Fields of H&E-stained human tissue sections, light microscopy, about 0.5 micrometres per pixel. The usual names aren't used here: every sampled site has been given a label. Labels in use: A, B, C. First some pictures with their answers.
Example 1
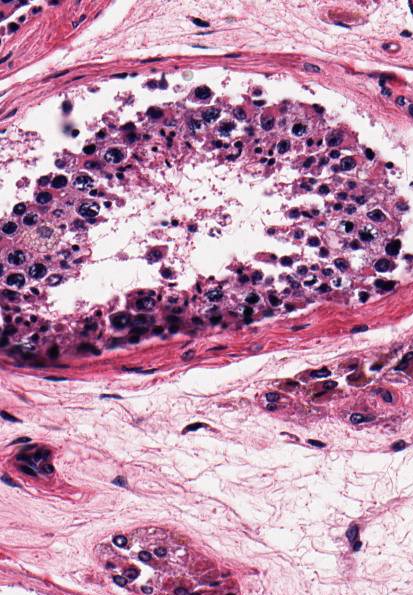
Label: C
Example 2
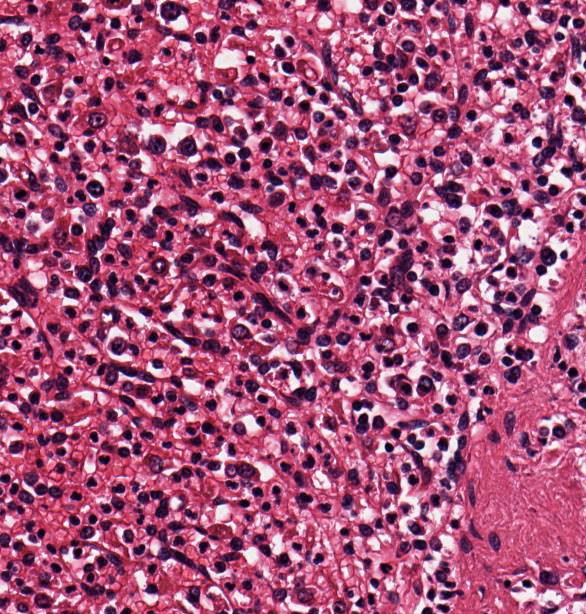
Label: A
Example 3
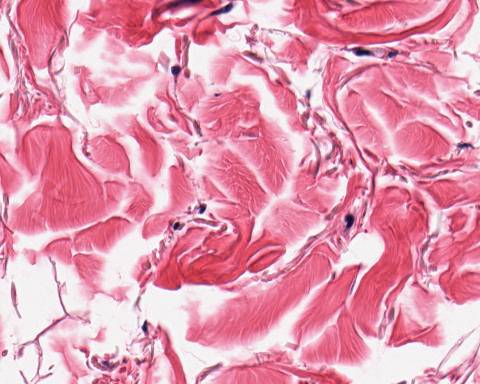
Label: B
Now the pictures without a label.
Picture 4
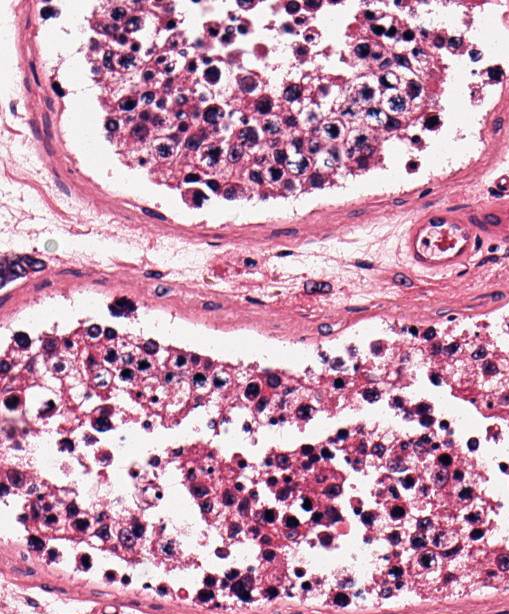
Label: C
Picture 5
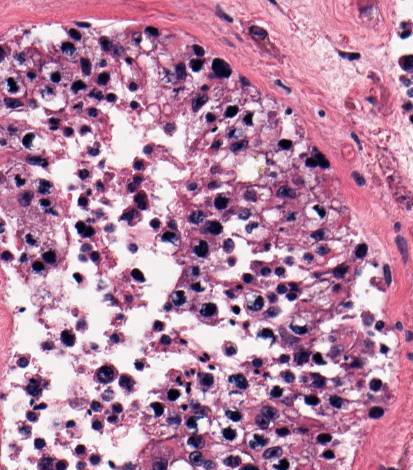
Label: C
